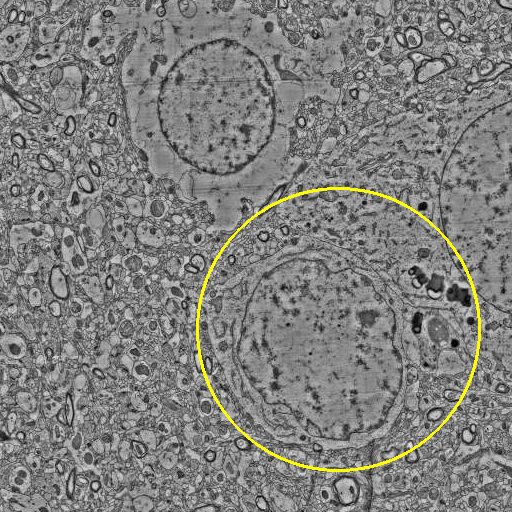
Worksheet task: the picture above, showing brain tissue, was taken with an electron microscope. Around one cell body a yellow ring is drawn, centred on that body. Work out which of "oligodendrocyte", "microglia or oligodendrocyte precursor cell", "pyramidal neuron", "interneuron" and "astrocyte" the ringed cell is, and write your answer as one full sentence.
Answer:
It is an interneuron whose cell body lies at the centre of the yellow ring.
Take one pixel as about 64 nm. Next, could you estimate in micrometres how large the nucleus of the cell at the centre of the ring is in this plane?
In this plane, roughly 12 by 10 micrometres.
